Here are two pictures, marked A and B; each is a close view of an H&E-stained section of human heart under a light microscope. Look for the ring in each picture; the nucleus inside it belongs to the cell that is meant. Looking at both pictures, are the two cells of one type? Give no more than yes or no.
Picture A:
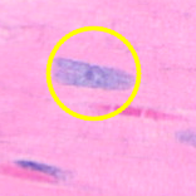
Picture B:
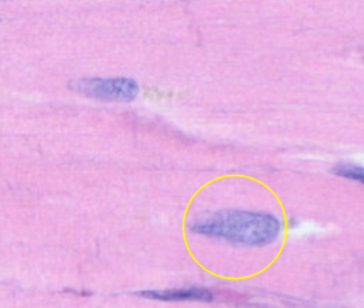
yes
